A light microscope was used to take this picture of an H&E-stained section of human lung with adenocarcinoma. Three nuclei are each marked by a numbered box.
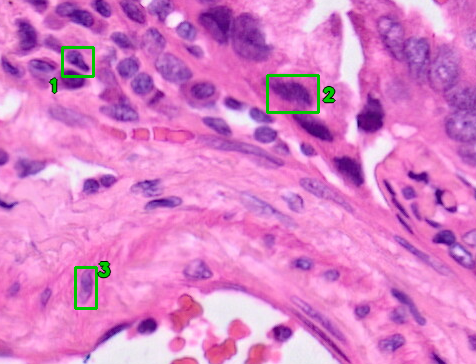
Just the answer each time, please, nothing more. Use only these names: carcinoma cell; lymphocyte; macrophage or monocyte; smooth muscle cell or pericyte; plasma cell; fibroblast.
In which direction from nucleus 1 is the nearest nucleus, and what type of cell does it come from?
a plasma cell; below nucleus 1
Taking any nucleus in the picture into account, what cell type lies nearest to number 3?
smooth muscle cell or pericyte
